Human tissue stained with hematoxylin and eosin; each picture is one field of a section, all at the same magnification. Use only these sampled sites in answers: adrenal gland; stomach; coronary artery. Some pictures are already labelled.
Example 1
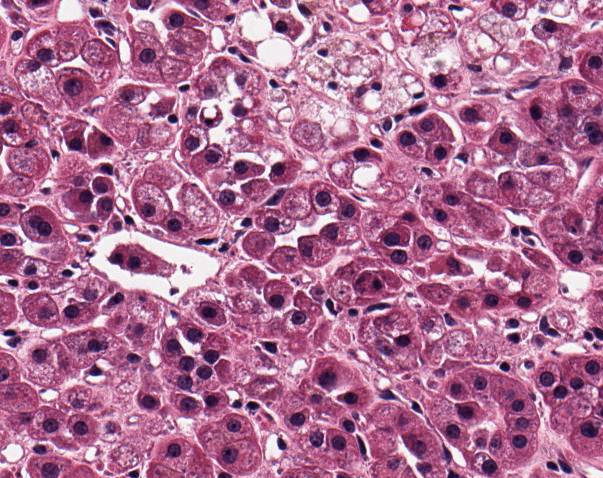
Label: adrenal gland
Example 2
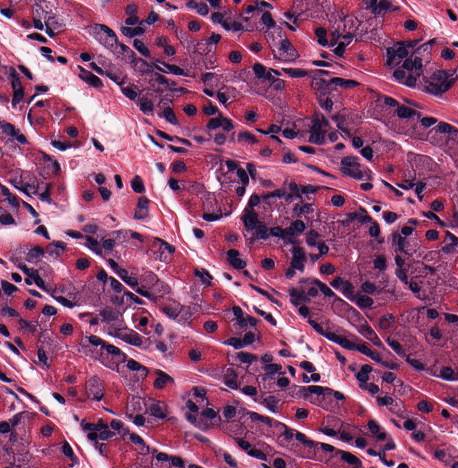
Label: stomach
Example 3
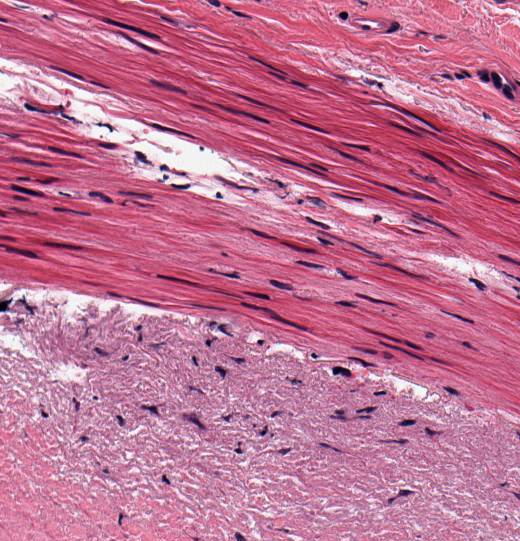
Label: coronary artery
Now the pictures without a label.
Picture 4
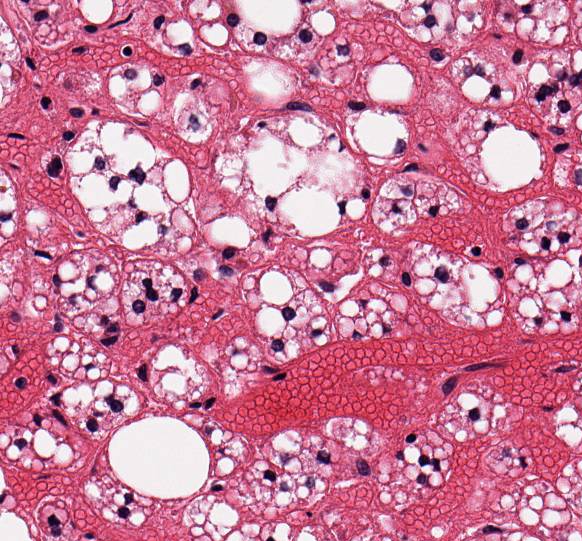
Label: adrenal gland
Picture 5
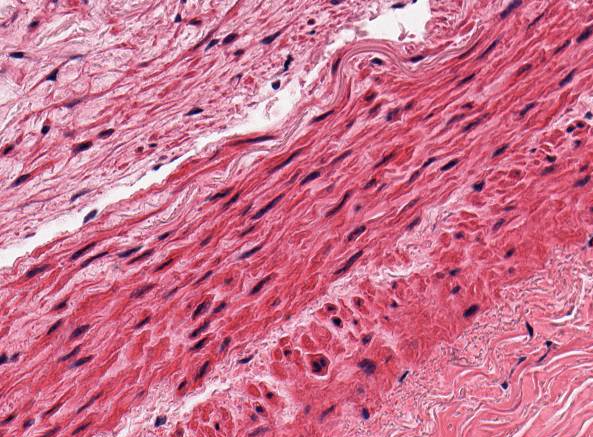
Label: coronary artery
